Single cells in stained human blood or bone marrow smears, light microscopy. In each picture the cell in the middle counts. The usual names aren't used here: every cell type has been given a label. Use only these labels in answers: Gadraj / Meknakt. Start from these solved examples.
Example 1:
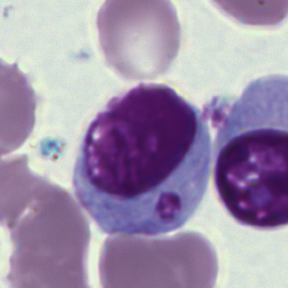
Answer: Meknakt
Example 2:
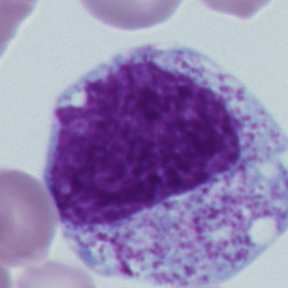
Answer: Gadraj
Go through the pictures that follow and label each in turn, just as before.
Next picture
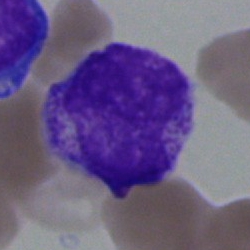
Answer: Gadraj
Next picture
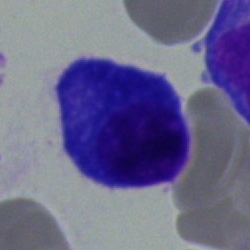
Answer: Meknakt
